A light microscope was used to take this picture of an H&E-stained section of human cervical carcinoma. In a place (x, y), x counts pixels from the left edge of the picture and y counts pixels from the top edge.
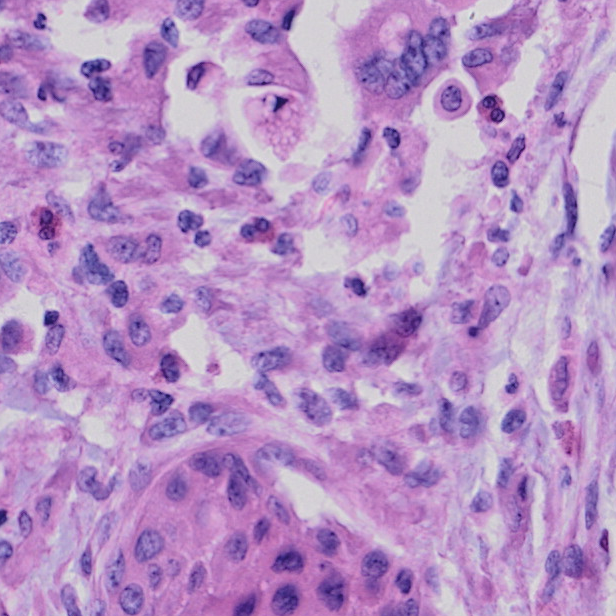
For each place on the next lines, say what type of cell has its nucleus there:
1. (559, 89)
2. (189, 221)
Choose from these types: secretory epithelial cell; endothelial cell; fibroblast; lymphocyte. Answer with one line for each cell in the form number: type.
1: fibroblast
2: lymphocyte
